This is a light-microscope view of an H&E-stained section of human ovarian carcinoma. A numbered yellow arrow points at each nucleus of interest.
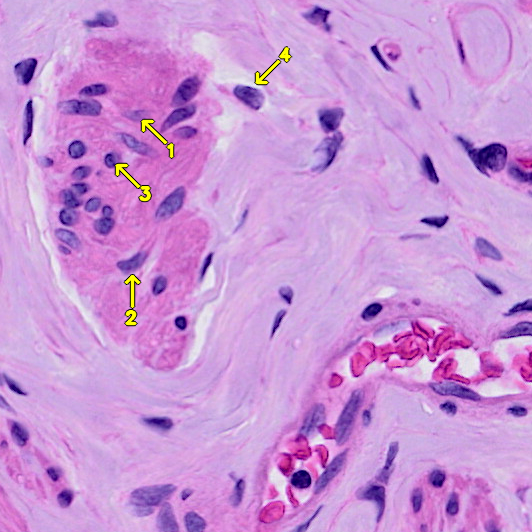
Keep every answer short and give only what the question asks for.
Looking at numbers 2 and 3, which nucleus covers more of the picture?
2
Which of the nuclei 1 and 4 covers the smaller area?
1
